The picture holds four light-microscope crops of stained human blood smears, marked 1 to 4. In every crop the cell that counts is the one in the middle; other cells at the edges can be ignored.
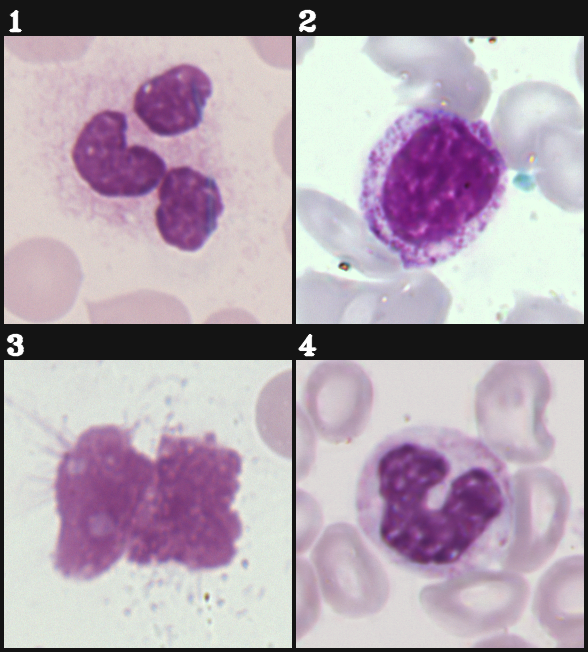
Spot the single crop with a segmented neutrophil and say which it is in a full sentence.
The requested cell, a segmented neutrophil, is the one in crop 1.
